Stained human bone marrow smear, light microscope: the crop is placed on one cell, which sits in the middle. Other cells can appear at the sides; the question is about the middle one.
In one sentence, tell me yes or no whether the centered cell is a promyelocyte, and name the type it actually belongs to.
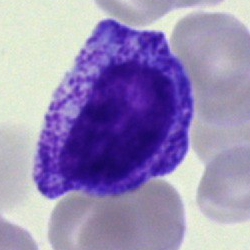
No, the centred cell is a myelocyte, and it is not a promyelocyte.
